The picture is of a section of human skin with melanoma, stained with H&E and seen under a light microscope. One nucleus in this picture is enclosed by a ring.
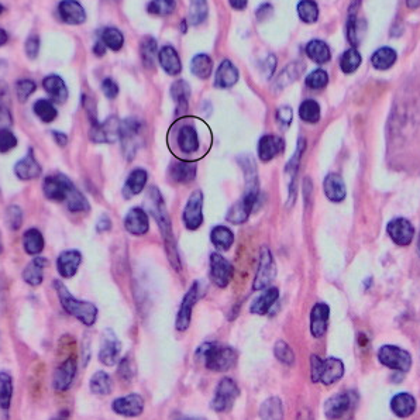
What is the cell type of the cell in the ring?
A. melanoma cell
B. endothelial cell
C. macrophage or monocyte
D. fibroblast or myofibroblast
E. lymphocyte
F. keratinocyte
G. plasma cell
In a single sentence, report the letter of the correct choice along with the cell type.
Option G describes the cell in the ring accurately as a plasma cell.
